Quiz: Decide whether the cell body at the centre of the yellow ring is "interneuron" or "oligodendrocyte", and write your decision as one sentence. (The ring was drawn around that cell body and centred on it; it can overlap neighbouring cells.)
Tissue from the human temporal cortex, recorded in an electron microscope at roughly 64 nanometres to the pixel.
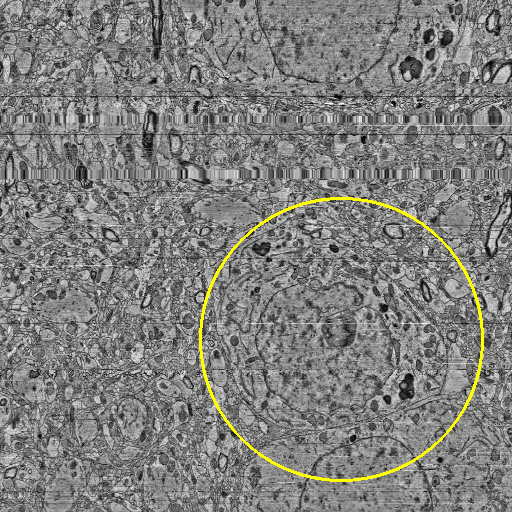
The cell the ring is centred on is an interneuron.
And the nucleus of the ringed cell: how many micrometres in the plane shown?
In this plane, the nucleus of the cell at the centre of the ring is about 9 micrometres across.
